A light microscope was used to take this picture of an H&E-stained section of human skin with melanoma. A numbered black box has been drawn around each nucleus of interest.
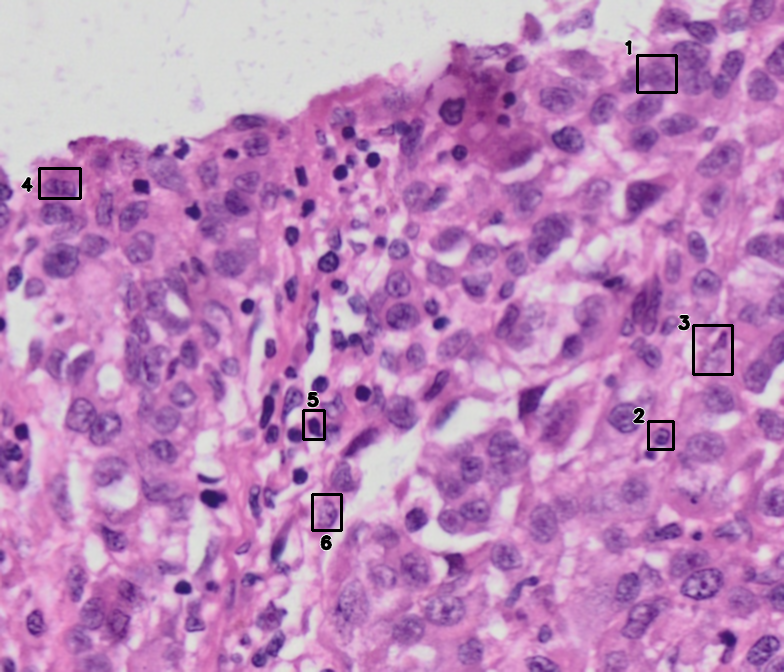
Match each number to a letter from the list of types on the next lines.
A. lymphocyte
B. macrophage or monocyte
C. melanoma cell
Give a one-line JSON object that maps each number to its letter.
{"1": "C", "2": "B", "3": "C", "4": "C", "5": "A", "6": "C"}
